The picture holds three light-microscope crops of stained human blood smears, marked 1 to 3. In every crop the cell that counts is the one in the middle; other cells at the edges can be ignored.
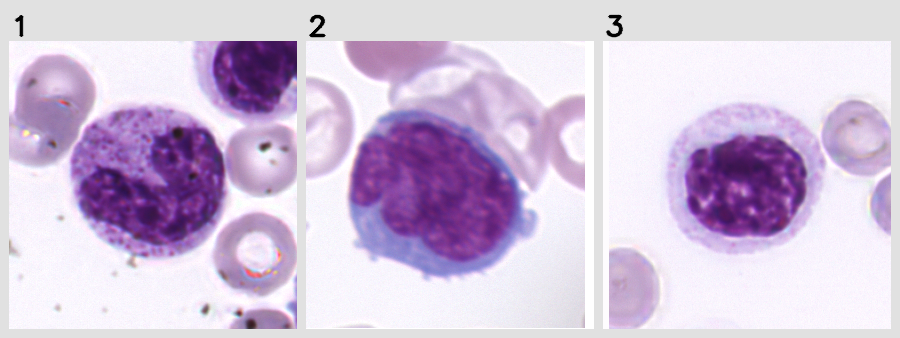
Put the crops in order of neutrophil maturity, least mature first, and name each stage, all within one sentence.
Ordered by maturation stage, least mature first, these are crop 2 (a myeloblast), crop 3 (a metamyelocyte) and crop 1 (a band neutrophil).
